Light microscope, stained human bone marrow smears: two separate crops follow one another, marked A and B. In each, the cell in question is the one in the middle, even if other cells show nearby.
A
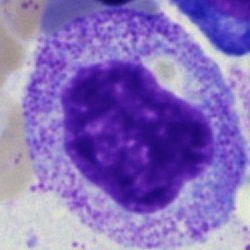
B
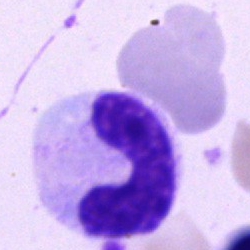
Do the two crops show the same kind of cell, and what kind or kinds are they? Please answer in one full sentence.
No, in this case crop A shows a metamyelocyte, and crop B shows a band neutrophil.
